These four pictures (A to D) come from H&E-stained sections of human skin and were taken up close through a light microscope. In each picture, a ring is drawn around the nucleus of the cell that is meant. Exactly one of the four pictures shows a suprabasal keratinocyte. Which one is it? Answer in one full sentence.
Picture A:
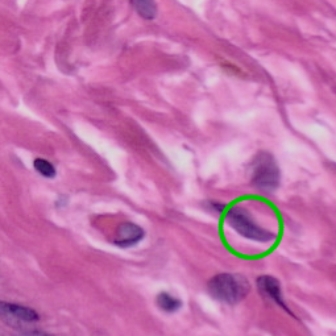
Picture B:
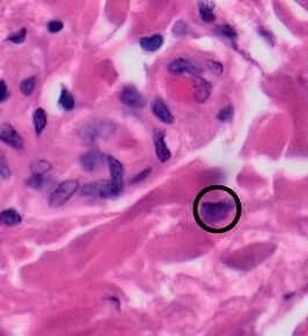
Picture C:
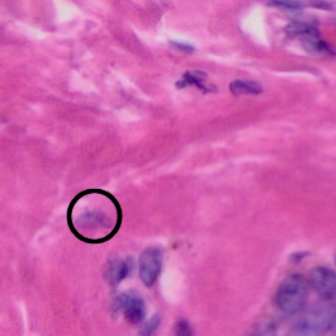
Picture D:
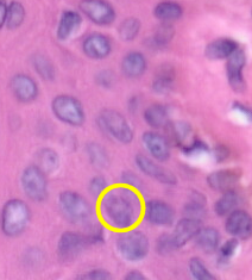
Picture D shows the suprabasal keratinocyte.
